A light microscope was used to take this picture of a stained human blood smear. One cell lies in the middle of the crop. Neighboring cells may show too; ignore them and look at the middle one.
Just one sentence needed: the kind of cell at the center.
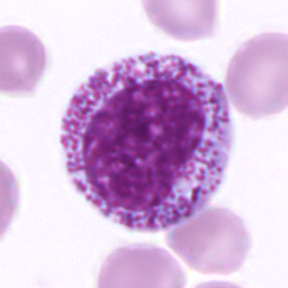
This crop has a myelocyte at its centre.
